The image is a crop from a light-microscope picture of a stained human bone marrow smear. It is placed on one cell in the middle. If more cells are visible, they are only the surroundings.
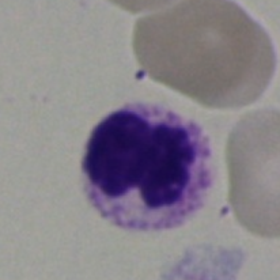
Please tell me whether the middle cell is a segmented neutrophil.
yes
